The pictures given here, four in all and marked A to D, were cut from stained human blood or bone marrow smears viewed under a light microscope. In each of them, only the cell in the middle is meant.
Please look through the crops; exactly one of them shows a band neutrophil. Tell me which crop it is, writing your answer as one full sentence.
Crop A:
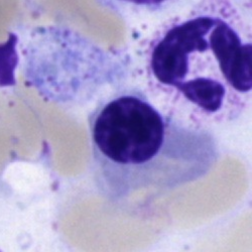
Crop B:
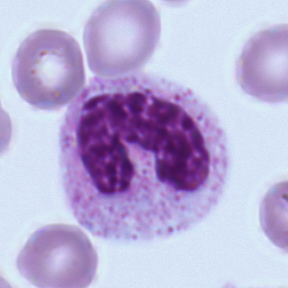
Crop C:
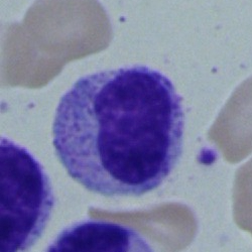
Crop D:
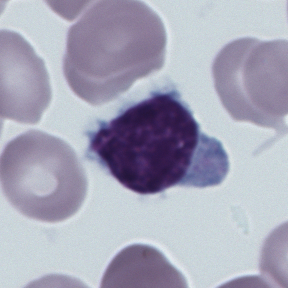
Crop B is the crop containing a band neutrophil.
